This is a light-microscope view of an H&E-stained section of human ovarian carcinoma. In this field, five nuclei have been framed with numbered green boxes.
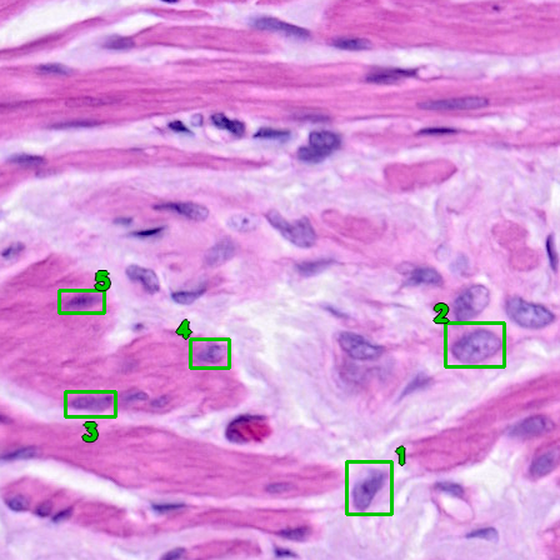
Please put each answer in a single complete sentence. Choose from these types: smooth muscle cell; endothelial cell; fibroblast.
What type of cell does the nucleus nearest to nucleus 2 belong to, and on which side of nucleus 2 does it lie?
It is an endothelial cell, whose nucleus lies above nucleus 2.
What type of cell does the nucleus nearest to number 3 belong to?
Number 3 lies closest to the nucleus of a smooth muscle cell.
